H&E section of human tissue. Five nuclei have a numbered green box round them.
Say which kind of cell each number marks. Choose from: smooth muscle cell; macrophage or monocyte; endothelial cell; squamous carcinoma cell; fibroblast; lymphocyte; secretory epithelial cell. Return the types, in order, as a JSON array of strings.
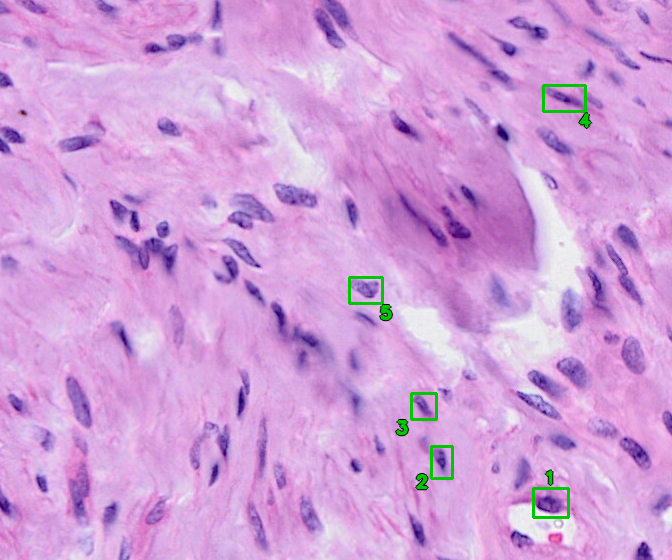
["endothelial cell", "fibroblast", "smooth muscle cell", "fibroblast", "fibroblast"]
